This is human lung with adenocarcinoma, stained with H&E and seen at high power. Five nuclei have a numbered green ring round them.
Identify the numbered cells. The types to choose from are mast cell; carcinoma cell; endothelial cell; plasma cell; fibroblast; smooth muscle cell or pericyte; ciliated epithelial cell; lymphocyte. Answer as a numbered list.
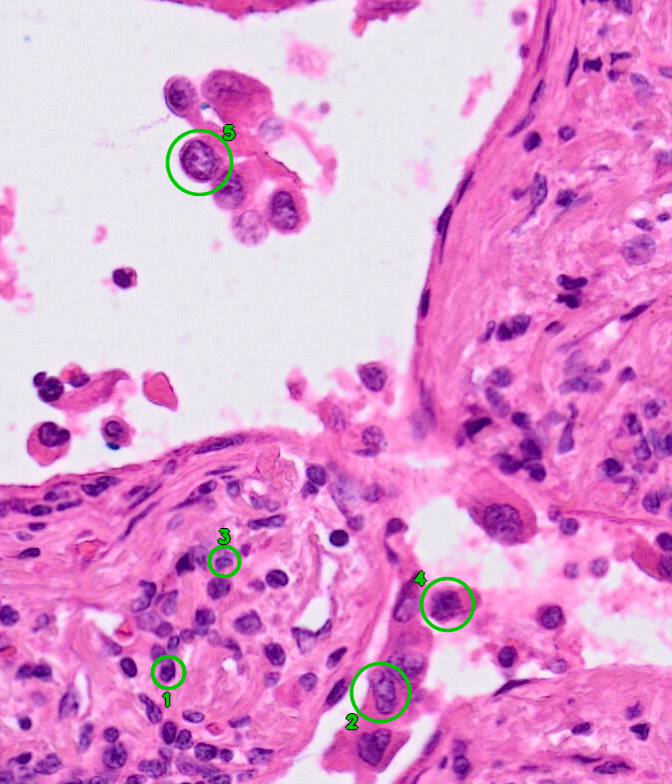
1. lymphocyte
2. carcinoma cell
3. lymphocyte
4. carcinoma cell
5. carcinoma cell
